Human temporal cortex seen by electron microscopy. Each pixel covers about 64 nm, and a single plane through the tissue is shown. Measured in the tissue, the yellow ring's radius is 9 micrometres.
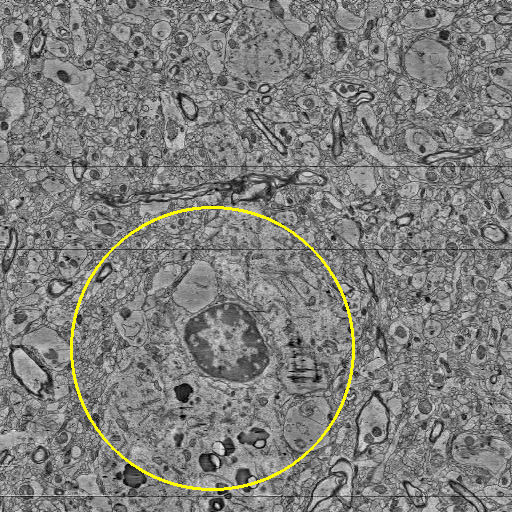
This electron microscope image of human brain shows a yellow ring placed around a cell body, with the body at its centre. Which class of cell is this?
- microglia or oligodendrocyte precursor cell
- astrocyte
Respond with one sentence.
The cell body at the ring's centre is a microglial cell or oligodendrocyte precursor cell.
